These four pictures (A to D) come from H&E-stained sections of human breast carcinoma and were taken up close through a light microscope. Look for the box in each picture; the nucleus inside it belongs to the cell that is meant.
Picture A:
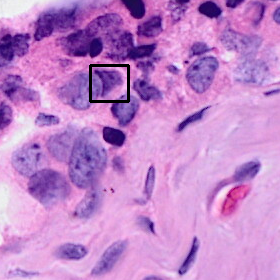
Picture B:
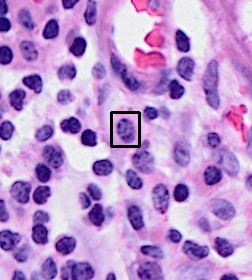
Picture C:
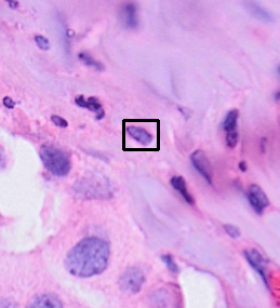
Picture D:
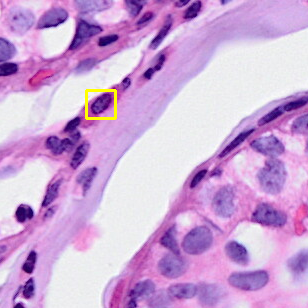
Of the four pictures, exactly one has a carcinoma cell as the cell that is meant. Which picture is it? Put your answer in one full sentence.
The picture with the carcinoma cell is A.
